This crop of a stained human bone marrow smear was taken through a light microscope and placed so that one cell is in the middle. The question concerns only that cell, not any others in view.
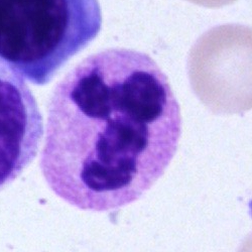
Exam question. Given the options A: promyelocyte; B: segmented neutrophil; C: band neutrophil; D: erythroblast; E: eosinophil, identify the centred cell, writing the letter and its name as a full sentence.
Option B is the right choice, the central cell being a segmented neutrophil.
